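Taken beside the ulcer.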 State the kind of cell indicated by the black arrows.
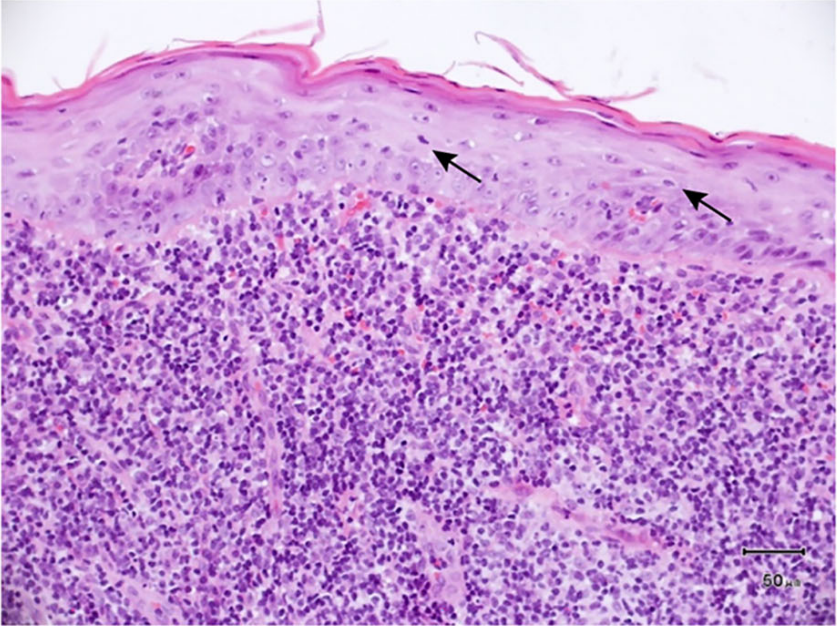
Lymphocytes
